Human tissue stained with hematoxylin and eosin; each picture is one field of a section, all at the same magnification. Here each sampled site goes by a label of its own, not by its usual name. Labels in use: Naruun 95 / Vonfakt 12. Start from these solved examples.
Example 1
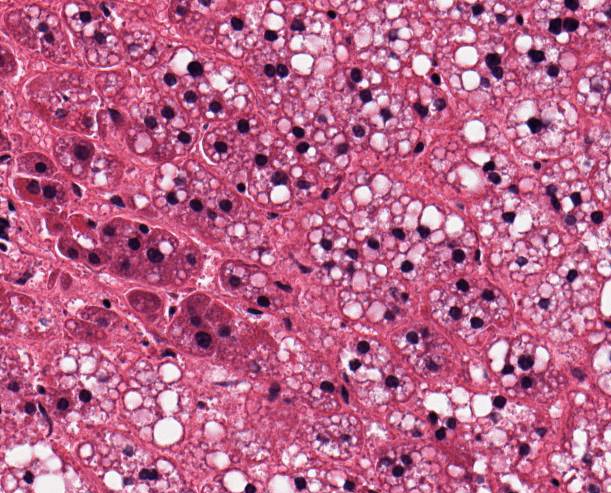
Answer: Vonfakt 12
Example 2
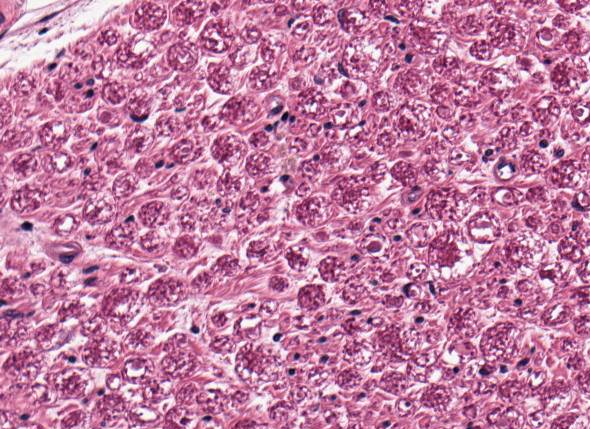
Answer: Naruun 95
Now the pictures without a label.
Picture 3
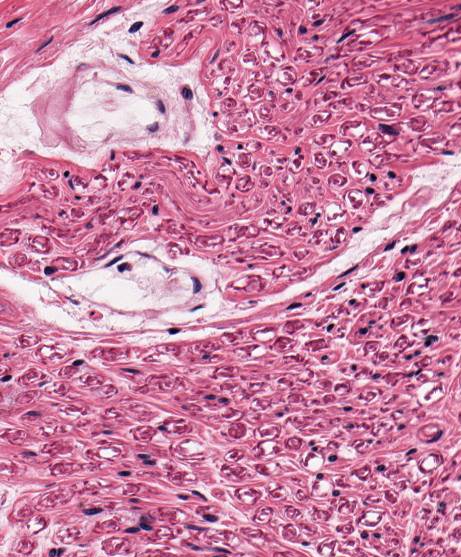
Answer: Naruun 95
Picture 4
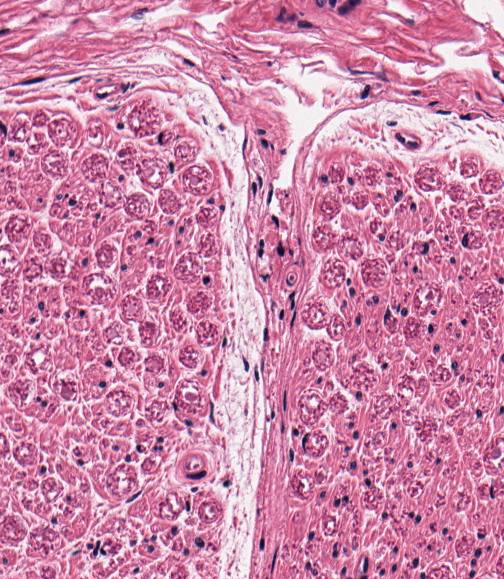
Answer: Naruun 95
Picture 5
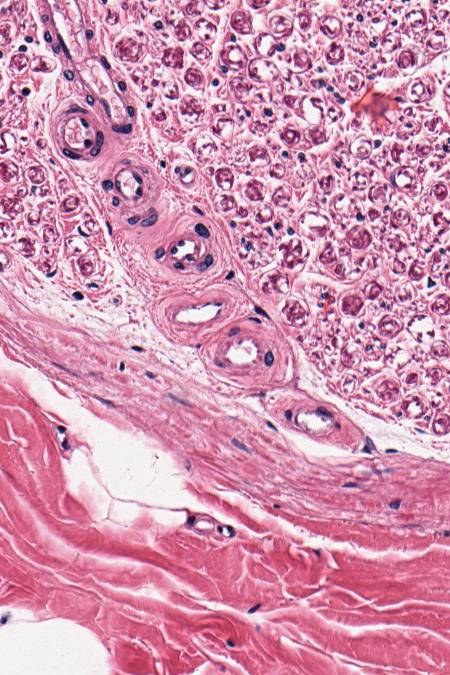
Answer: Naruun 95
